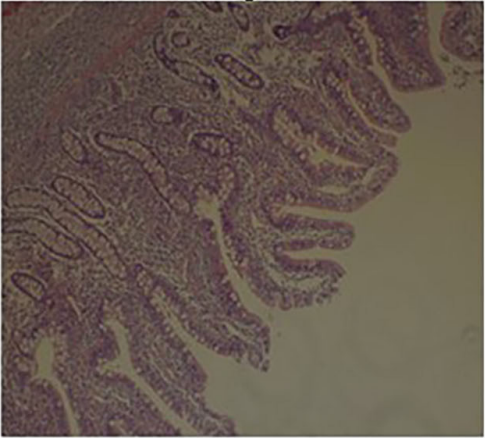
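This is hematoxylin and eosin stained small-intestinal mucosa, with a field of villi and the crypts at their base. The villi are finger-like folds lined by a single layer of columnar epithelium with purple nuclei, and they project toward the pale lumen on one side. Deeper in the mucosa, the crypts are cut lengthwise and obliquely, appearing as elongated tubular profiles with a narrow central lumen surrounded by a ring of epithelial cells. Between the crypts lies cellular pink connective tissue of the lamina propria.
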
